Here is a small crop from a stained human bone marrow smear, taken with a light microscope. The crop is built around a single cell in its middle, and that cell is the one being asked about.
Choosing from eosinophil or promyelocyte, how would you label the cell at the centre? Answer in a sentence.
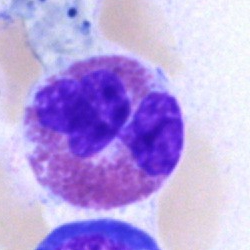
This crop is built around an eosinophil at its centre.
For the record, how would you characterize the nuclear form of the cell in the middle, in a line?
We find a nucleus divided into at least two lobes.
